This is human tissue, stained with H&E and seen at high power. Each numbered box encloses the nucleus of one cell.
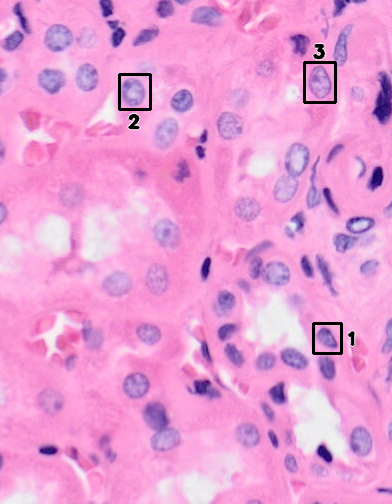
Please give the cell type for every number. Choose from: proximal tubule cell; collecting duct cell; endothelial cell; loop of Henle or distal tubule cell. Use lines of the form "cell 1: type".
cell 1: collecting duct cell
cell 2: collecting duct cell
cell 3: proximal tubule cell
